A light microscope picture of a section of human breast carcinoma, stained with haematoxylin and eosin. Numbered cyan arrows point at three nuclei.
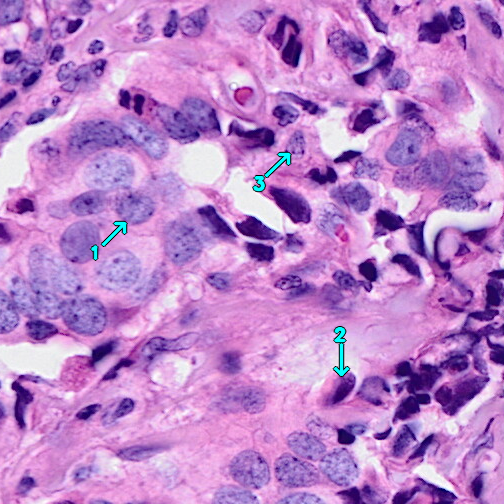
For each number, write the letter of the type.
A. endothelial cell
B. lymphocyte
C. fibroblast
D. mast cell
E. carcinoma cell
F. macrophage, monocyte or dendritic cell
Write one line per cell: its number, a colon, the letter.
1: E
2: E
3: F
